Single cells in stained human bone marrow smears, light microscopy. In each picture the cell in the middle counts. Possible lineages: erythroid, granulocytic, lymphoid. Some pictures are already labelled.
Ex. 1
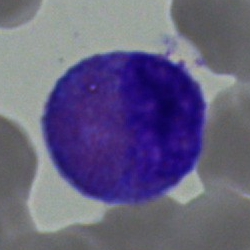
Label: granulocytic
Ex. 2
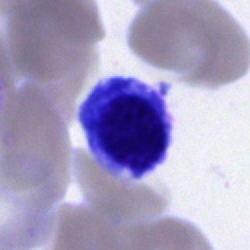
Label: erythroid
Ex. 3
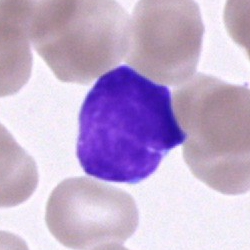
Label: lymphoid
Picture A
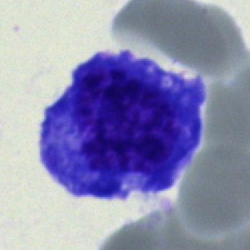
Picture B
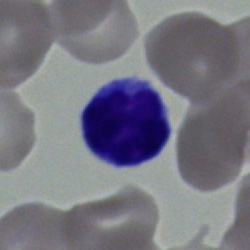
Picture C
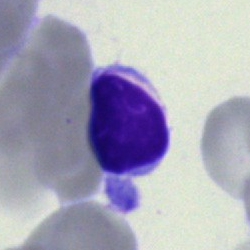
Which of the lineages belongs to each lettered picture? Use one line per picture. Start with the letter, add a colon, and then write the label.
A: lymphoid
B: lymphoid
C: lymphoid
